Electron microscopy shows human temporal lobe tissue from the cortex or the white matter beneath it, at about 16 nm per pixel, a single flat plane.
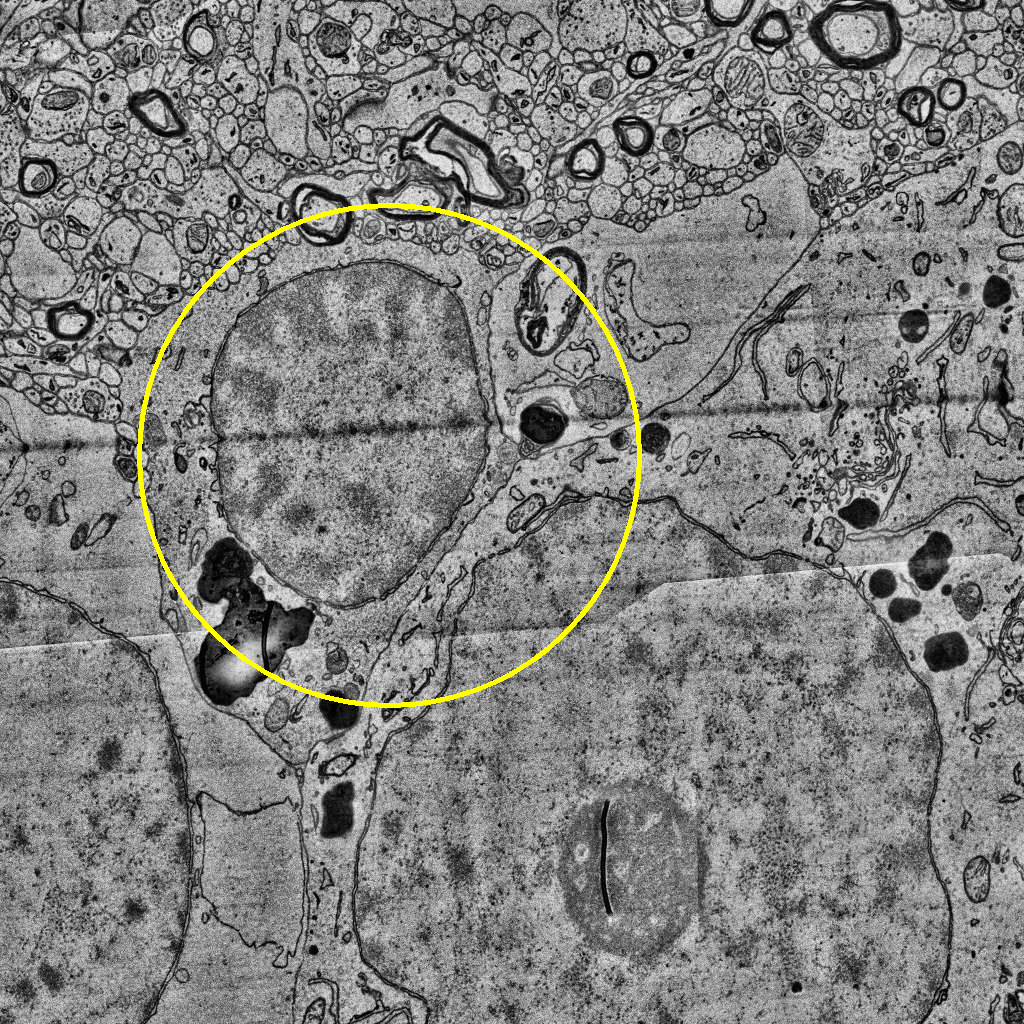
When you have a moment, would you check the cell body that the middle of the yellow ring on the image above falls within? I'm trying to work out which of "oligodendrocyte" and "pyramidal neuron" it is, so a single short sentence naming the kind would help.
This cell body belongs to an oligodendrocyte.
